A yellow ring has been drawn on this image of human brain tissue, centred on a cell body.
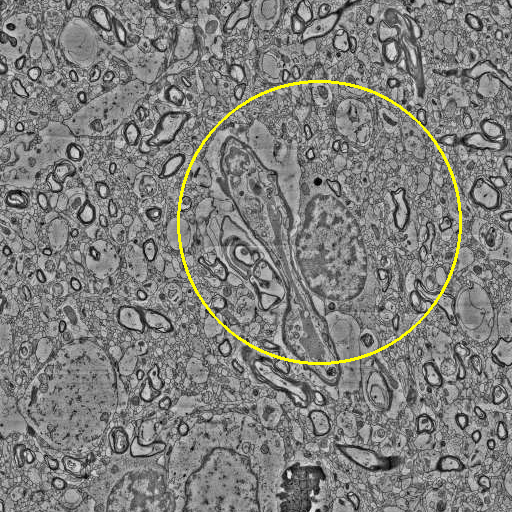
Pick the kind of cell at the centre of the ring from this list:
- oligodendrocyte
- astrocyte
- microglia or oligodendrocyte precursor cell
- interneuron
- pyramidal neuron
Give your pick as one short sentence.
The centre of the ring holds an oligodendrocyte.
